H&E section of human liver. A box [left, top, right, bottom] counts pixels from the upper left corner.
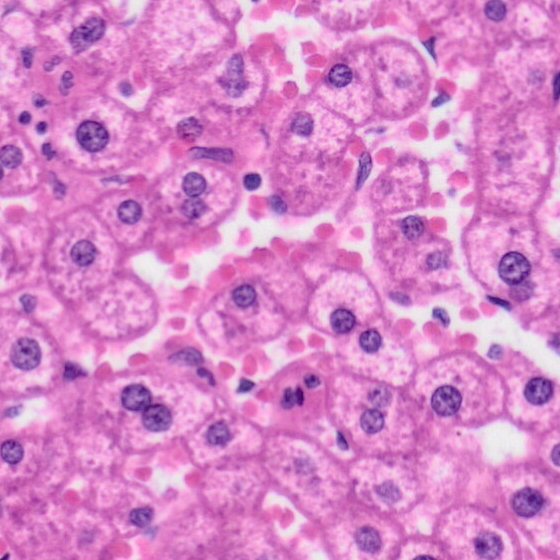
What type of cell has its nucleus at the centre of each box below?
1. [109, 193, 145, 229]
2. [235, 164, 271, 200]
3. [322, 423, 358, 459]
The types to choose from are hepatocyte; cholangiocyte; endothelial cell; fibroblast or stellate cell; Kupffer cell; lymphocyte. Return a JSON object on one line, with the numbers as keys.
{"1": "hepatocyte", "2": "lymphocyte", "3": "endothelial cell"}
